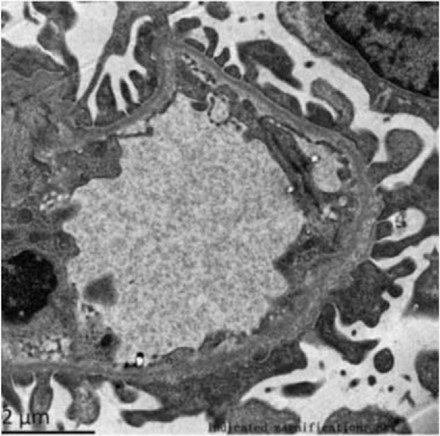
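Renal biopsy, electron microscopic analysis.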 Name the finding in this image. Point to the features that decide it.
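A wide grey band of membrane runs around a large round lumen. Cell processes sit along the outer side of the band. The answer: thickening of the glomerular basement membrane.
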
